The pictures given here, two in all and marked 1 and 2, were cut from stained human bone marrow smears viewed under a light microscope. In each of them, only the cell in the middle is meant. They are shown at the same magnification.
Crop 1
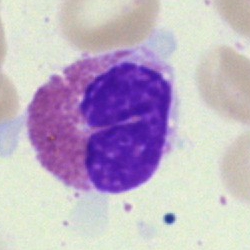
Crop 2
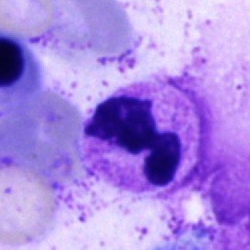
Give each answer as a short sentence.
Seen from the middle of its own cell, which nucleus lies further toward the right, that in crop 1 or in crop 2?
It is the nucleus in crop 1 that lies further toward the right of its cell.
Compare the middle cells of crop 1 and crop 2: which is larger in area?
The cell in crop 1 is larger, with about 1.5 times the area of the one in crop 2.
